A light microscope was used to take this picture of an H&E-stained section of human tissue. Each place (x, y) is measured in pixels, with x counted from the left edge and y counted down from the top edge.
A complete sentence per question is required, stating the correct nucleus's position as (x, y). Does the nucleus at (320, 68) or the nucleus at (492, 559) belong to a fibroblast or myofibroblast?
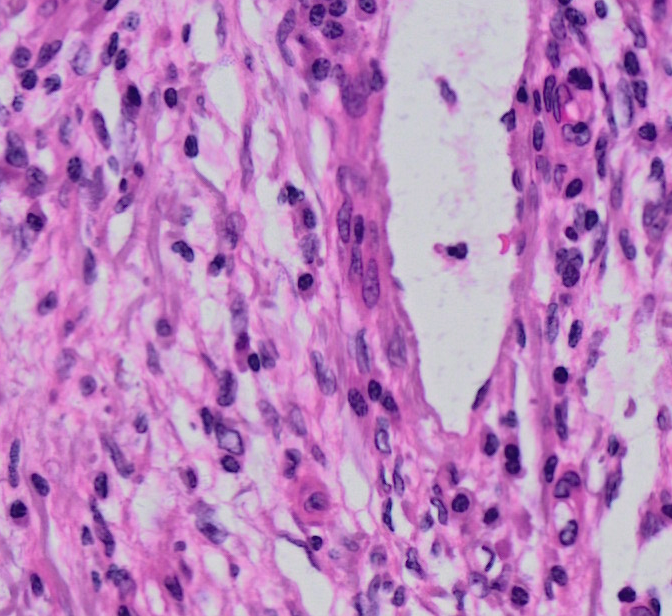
Answering which nucleus it is: the one at (492, 559), belonging to a fibroblast or myofibroblast.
